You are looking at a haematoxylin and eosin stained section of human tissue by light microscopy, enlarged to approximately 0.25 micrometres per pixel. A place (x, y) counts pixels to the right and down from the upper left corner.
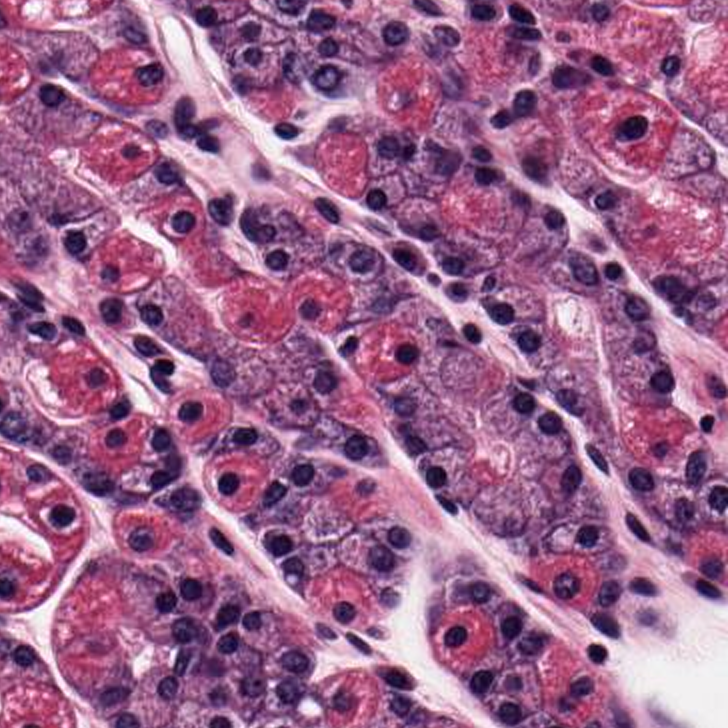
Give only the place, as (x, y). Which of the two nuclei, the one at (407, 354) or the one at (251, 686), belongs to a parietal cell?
(407, 354)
